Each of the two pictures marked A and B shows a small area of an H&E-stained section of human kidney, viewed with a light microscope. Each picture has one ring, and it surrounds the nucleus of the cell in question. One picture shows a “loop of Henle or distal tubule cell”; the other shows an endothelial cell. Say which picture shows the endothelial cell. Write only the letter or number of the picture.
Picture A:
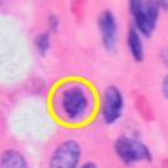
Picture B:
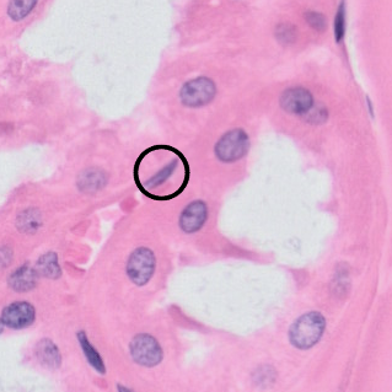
B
